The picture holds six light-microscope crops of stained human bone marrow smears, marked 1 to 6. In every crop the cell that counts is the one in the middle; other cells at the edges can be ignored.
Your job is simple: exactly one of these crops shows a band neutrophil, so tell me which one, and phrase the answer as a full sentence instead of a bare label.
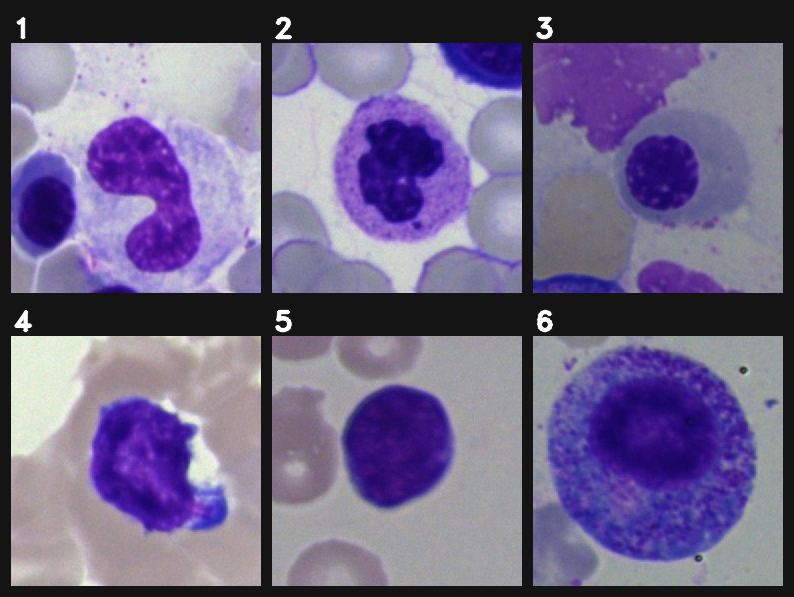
Within this set, crop 1 is the one with a band neutrophil at its center.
